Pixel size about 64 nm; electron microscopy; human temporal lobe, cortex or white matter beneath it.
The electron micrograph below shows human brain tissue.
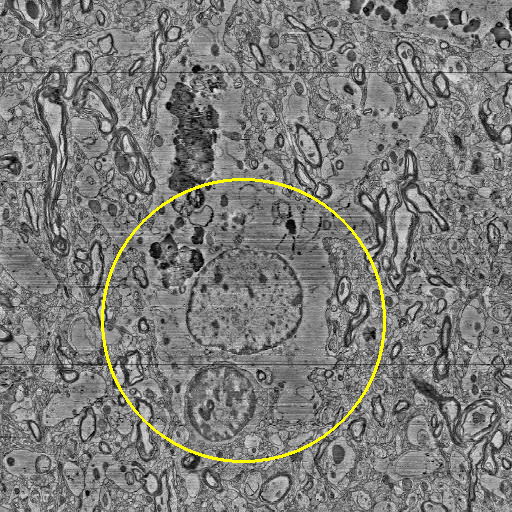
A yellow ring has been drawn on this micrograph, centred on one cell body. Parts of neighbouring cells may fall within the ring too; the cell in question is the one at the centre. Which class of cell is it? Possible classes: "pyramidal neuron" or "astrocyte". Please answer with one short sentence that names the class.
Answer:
In the centre of the ring sits an astrocyte.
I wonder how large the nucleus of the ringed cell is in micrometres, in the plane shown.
In this plane, the nucleus of the cell at the centre of the ring is about 7 micrometres across.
